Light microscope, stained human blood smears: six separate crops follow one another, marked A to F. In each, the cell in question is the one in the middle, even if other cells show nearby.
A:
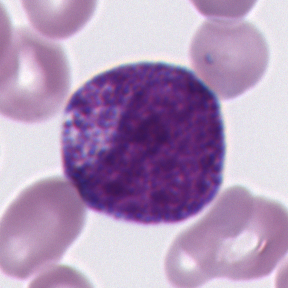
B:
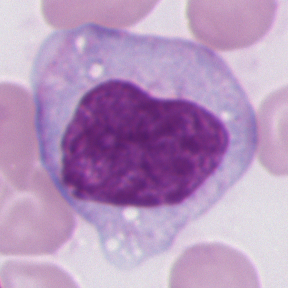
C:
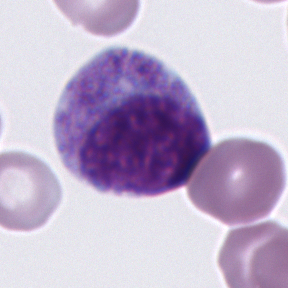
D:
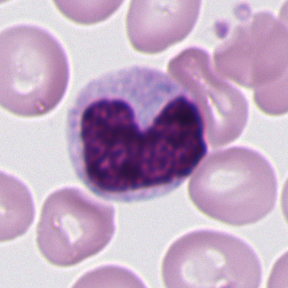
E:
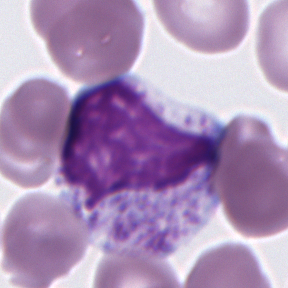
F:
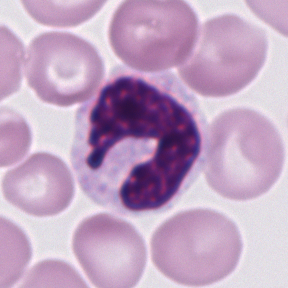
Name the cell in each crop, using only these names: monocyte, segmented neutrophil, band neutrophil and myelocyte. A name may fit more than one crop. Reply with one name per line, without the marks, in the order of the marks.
myelocyte
monocyte
myelocyte
band neutrophil
myelocyte
band neutrophil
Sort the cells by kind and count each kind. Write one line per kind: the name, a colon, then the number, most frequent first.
myelocyte: 3
band neutrophil: 2
monocyte: 1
